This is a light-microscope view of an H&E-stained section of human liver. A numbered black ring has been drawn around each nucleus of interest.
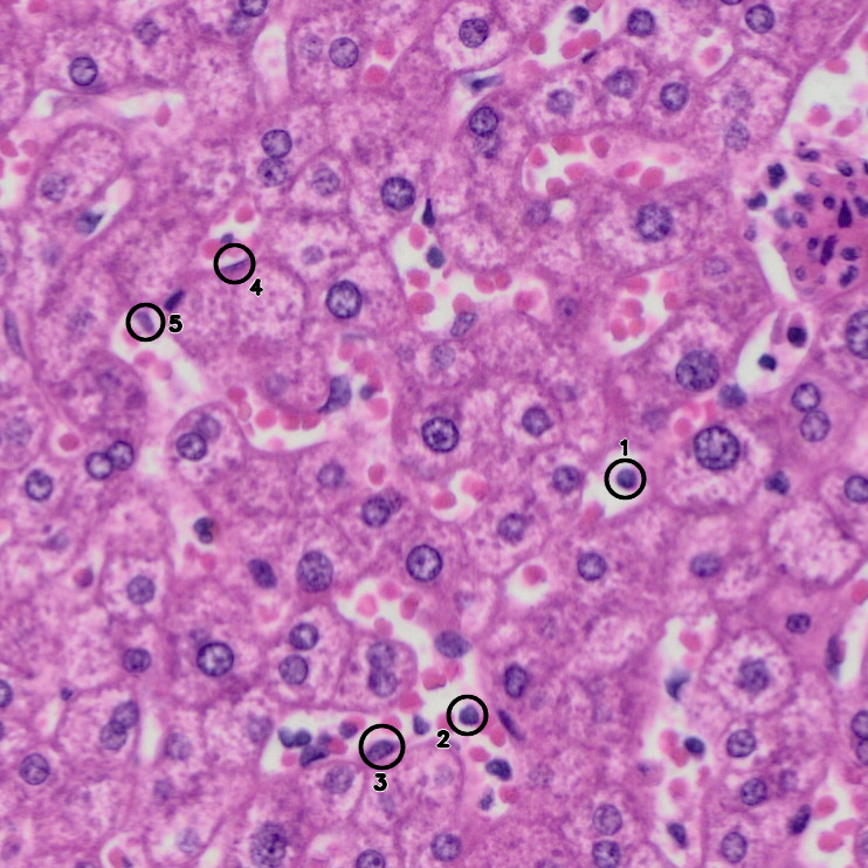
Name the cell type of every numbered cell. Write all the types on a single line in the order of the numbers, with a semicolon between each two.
lymphocyte; lymphocyte; Kupffer cell; endothelial cell; Kupffer cell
